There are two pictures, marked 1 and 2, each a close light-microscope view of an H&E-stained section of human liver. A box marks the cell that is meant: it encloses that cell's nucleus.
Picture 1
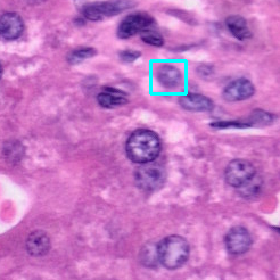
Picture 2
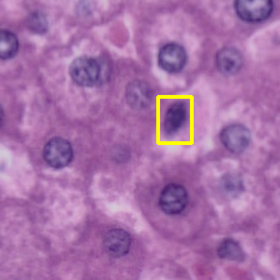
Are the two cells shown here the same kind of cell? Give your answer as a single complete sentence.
No. Picture 1 shows a cholangiocyte, but picture 2 shows a Kupffer cell.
